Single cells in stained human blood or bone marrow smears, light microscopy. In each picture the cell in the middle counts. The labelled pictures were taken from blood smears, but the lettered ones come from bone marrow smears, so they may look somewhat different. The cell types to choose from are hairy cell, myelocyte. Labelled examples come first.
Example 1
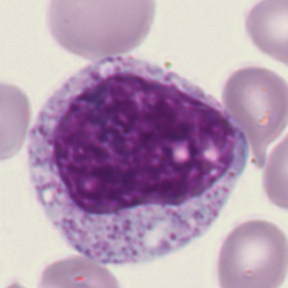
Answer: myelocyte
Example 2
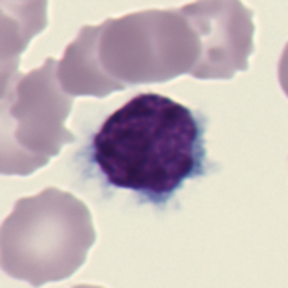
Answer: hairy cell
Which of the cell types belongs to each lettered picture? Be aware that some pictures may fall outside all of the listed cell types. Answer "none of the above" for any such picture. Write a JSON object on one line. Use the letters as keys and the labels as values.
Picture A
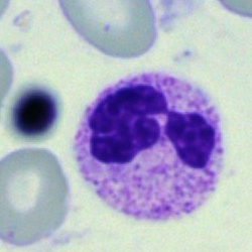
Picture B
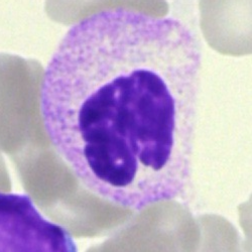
{"A": "none of the above", "B": "none of the above"}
